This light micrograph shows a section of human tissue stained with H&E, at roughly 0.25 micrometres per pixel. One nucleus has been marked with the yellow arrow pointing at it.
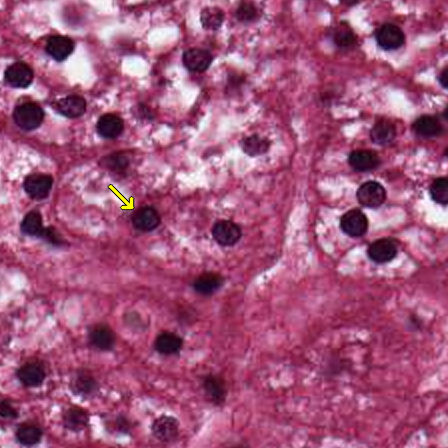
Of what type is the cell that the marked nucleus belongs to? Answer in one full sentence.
The marked nucleus is the nucleus of an adrenal cortical cell.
